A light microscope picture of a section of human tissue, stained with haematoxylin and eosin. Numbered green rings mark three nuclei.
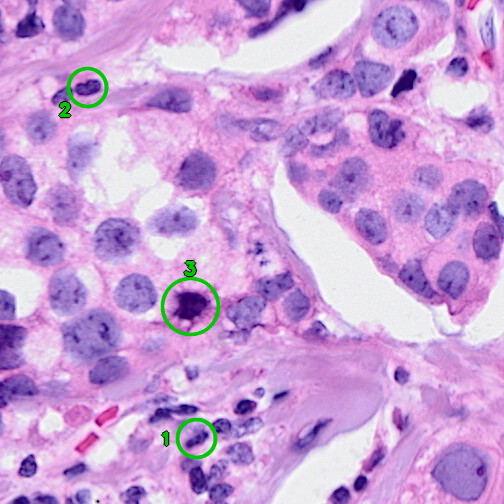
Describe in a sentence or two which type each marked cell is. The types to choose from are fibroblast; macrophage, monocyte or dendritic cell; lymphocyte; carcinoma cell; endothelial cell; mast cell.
Cells 1 and 2 are lymphocytes. Cell 3 is a carcinoma cell.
